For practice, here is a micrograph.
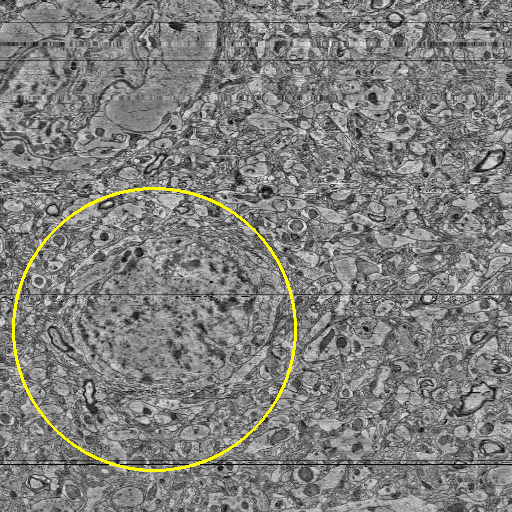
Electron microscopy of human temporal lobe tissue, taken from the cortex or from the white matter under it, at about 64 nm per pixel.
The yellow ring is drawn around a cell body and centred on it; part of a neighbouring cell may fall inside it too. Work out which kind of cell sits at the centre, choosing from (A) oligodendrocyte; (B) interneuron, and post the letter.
B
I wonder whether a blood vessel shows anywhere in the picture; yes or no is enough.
Yes.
